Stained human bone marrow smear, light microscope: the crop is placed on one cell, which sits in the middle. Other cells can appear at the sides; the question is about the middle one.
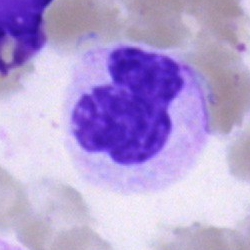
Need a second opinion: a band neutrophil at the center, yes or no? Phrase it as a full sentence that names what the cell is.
No, what is centred in the crop is not a band neutrophil but a segmented neutrophil.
